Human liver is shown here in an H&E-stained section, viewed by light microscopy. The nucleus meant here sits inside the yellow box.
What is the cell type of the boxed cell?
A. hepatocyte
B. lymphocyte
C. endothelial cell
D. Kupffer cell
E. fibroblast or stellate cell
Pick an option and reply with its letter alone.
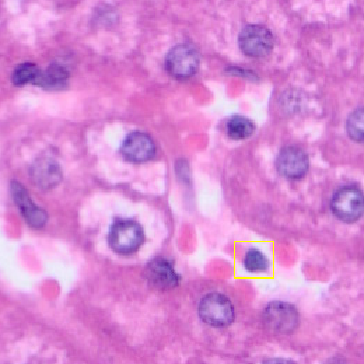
B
